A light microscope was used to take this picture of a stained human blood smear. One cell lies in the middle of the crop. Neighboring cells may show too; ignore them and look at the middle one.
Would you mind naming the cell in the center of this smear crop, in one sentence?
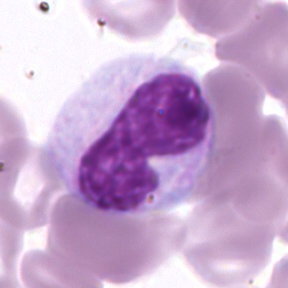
The cell featured at the centre of this crop is a band neutrophil.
